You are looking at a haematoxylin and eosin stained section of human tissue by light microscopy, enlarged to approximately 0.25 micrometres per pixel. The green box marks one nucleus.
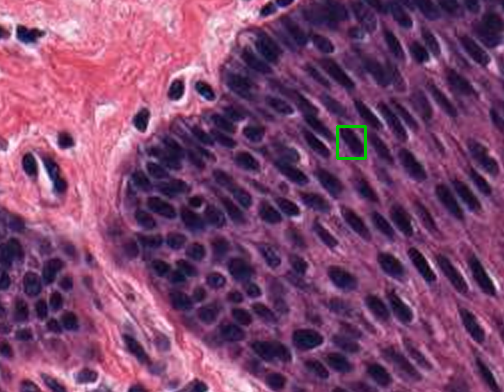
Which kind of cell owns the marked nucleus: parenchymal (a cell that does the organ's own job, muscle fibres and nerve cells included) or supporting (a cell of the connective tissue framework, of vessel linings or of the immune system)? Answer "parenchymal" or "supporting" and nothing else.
parenchymal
